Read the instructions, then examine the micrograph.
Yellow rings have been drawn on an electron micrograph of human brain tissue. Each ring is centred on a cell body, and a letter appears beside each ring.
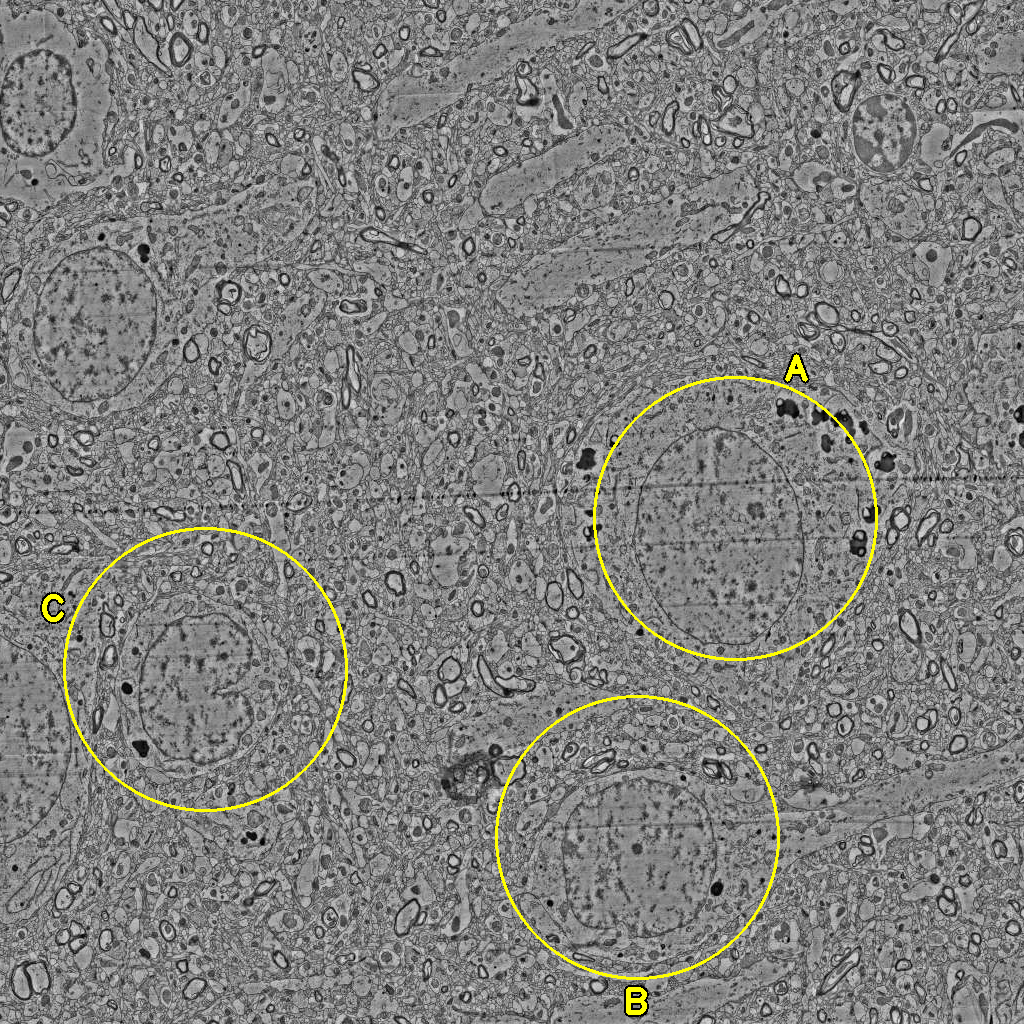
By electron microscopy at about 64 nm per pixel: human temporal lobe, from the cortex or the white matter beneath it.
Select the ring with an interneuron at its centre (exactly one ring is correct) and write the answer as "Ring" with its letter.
Ring C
